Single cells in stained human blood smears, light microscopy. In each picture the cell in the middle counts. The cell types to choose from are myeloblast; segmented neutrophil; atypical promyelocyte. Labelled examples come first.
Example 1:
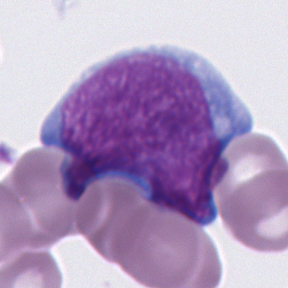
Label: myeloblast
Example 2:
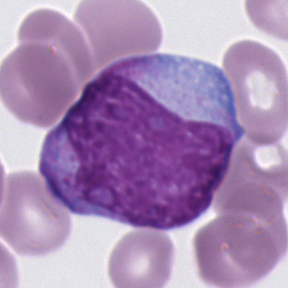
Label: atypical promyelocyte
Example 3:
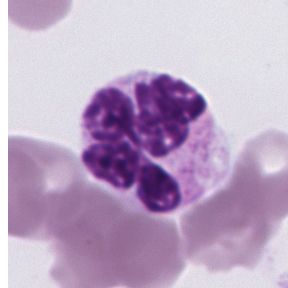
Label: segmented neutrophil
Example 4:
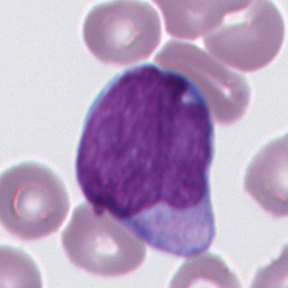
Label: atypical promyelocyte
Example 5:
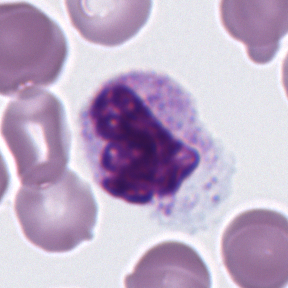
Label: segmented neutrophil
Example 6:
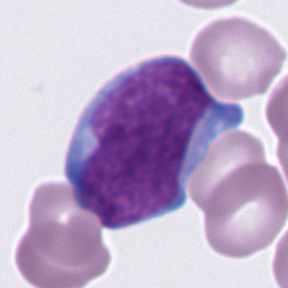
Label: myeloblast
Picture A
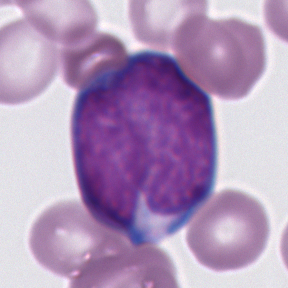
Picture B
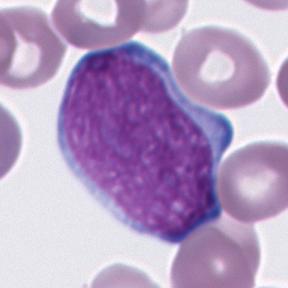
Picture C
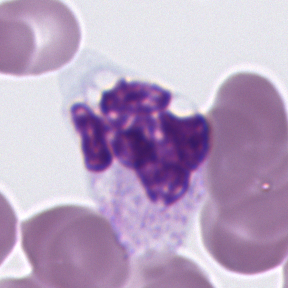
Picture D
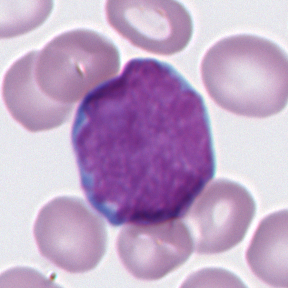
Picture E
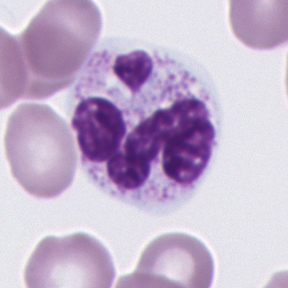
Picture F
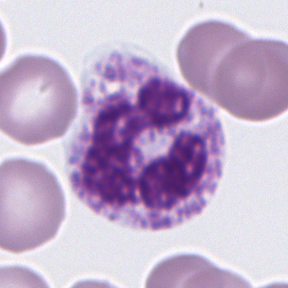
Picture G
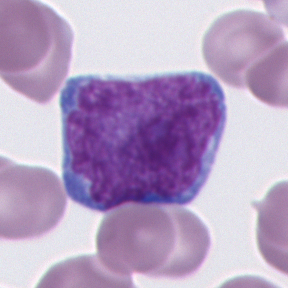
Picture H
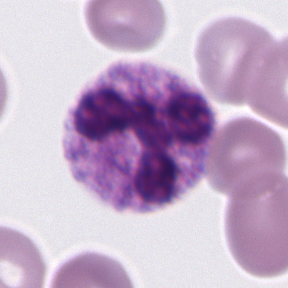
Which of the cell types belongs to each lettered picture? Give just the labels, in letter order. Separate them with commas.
myeloblast, myeloblast, segmented neutrophil, myeloblast, segmented neutrophil, segmented neutrophil, myeloblast, segmented neutrophil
